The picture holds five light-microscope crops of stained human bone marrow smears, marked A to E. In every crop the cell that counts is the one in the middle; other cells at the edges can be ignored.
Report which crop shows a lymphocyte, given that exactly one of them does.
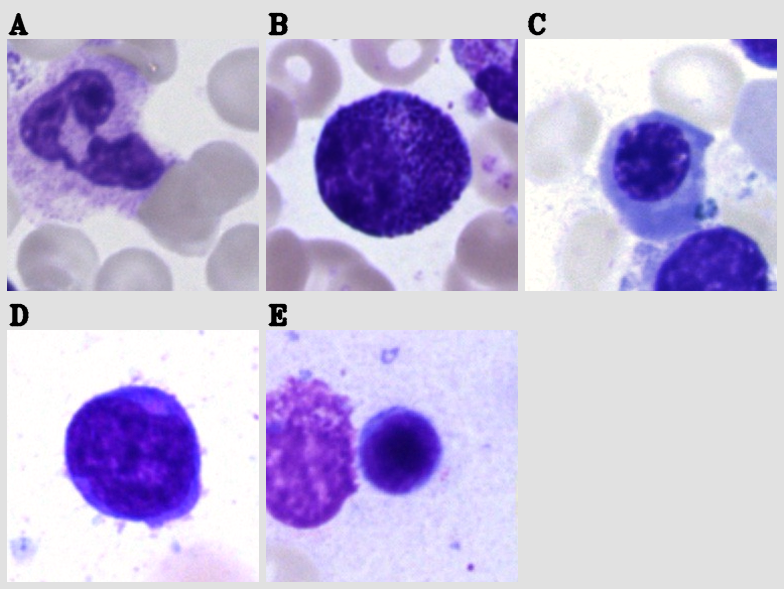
E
